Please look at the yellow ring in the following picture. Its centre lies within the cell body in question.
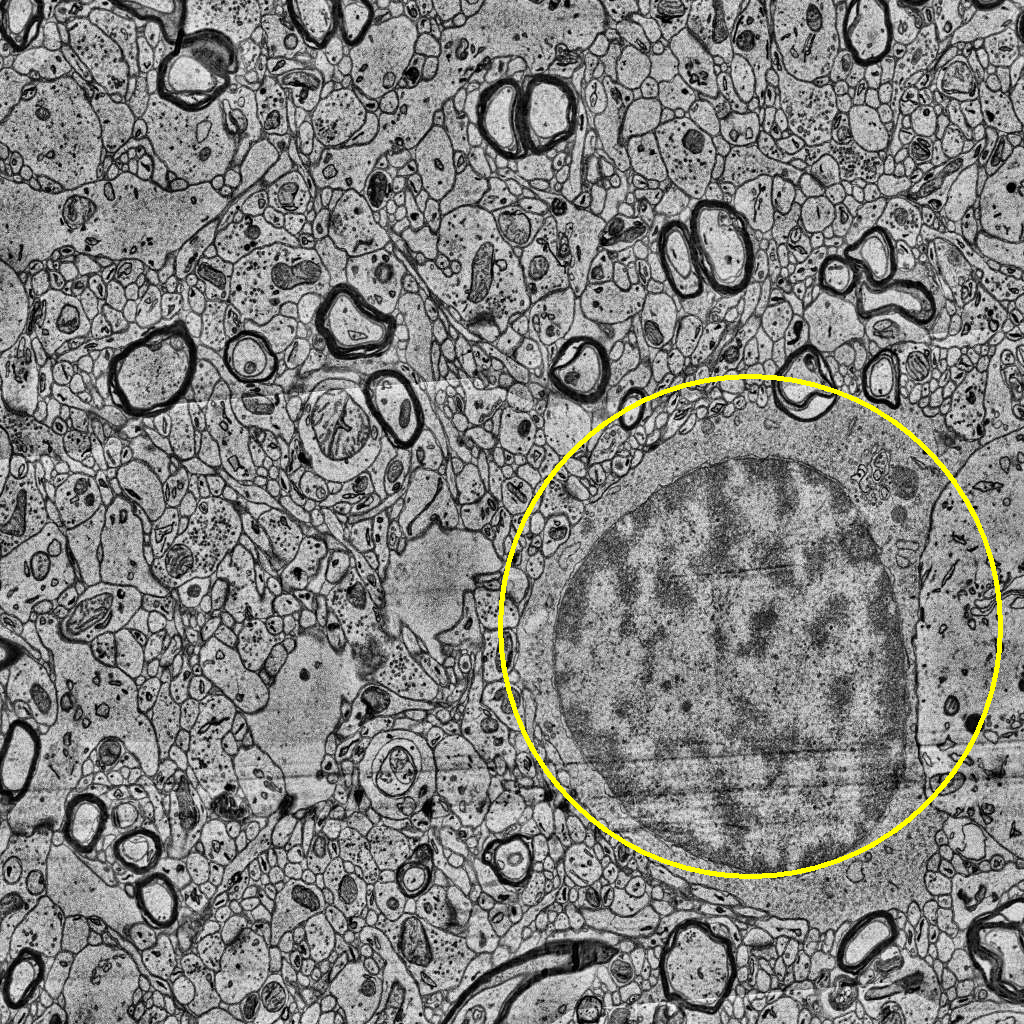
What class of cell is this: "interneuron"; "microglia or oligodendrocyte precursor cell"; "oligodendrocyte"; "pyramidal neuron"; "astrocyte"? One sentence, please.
The centre of the ring lies in the cell body of an oligodendrocyte.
